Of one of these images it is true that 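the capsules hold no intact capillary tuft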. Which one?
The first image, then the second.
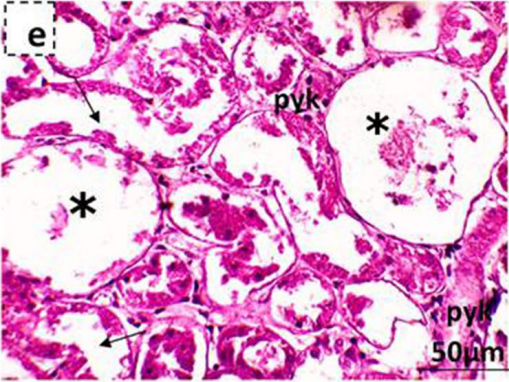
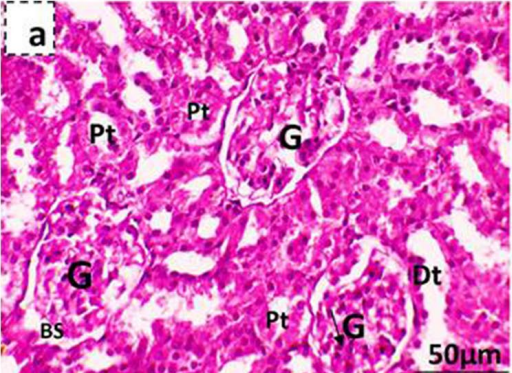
the first image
